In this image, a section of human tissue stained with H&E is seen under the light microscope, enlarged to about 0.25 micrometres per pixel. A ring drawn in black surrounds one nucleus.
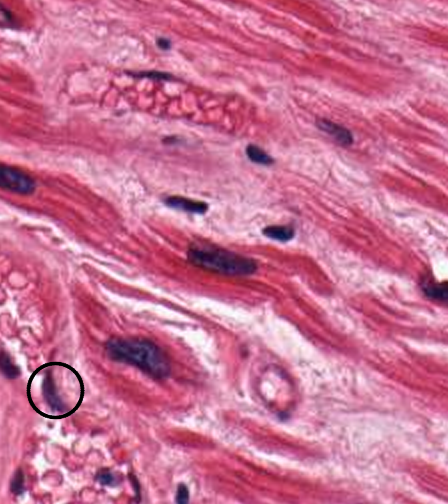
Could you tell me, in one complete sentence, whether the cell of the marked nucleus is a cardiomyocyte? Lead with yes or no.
No, the marked nucleus is not the nucleus of a cardiomyocyte but of a supporting cell.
